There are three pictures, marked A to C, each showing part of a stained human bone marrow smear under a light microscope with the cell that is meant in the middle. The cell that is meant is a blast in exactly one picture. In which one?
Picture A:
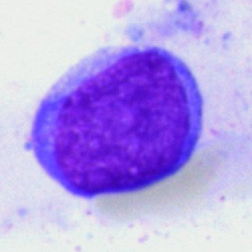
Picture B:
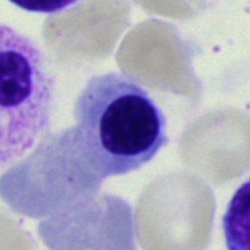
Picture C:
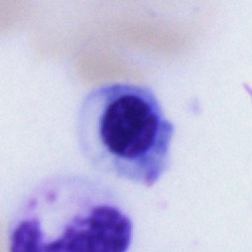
A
